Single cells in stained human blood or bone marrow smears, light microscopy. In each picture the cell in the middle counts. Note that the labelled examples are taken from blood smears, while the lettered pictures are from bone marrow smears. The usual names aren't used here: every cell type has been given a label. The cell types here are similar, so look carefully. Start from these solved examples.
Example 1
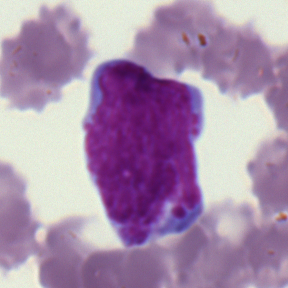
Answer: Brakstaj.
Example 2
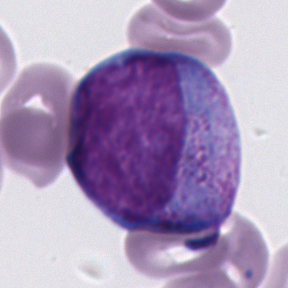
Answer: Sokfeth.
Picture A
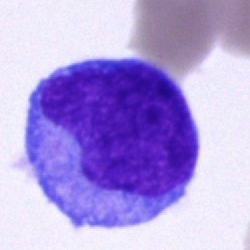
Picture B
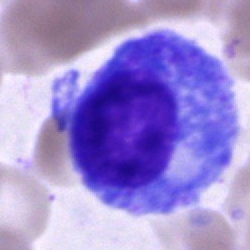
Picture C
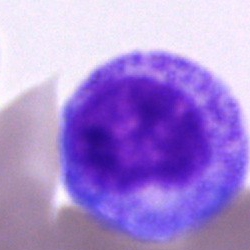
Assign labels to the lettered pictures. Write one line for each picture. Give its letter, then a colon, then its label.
A: Brakstaj.
B: Sokfeth.
C: Sokfeth.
